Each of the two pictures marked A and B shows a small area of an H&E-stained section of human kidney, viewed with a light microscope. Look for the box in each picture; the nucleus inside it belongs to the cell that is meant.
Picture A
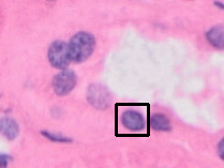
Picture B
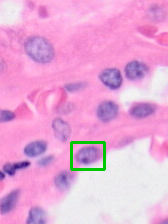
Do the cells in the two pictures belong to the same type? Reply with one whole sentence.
Yes, both cells are “loop of Henle or distal tubule cells”.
